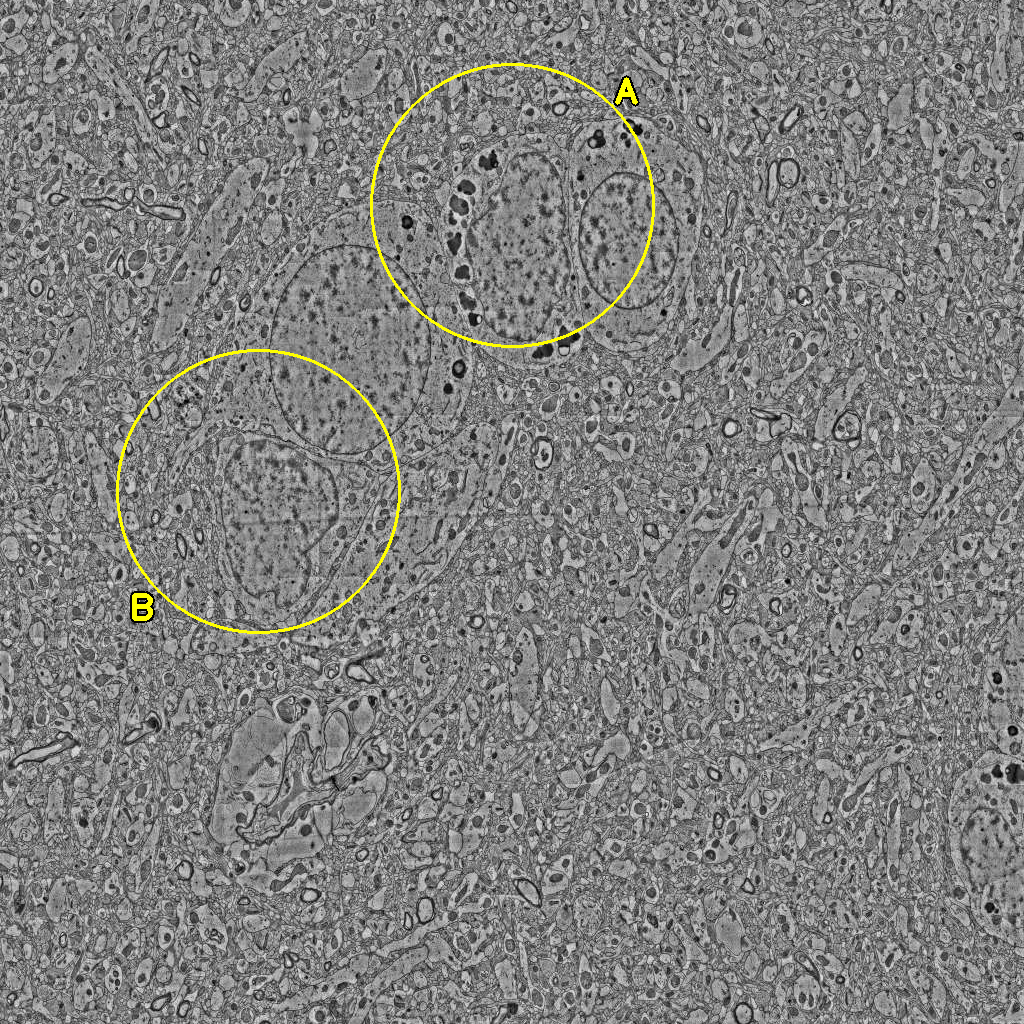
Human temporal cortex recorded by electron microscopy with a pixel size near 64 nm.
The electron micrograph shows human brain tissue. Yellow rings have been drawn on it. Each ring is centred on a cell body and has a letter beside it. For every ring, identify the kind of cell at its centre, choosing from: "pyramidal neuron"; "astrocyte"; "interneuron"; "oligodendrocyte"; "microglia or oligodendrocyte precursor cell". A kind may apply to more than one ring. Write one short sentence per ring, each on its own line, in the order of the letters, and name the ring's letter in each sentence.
Ring A is centred on an interneuron.
Ring B is centred on an interneuron.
